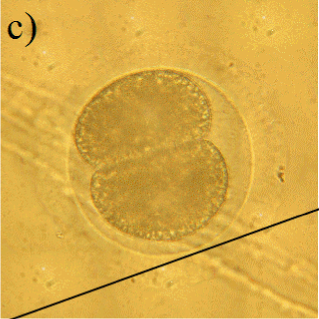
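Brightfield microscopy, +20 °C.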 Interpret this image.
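An early embryo made of two rounded blastomeres of similar size, pressed against each other along a straight line of contact. Their cytoplasm is densely granular, and both lie within a thin, clear, round envelope with an empty space between cells and envelope.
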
